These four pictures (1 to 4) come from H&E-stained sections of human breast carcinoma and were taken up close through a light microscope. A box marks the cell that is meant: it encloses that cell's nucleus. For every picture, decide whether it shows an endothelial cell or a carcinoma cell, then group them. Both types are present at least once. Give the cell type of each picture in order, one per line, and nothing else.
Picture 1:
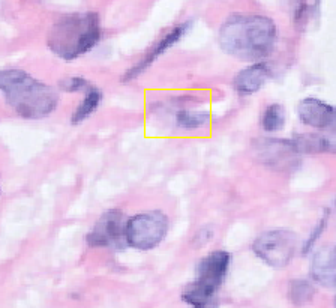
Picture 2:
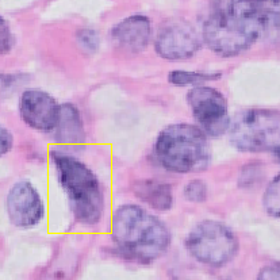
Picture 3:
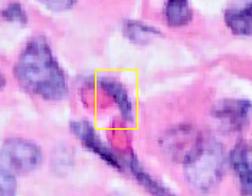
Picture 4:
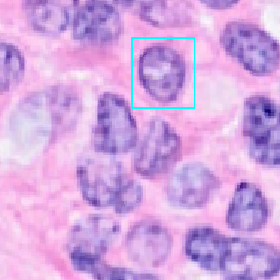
endothelial cell
carcinoma cell
endothelial cell
carcinoma cell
